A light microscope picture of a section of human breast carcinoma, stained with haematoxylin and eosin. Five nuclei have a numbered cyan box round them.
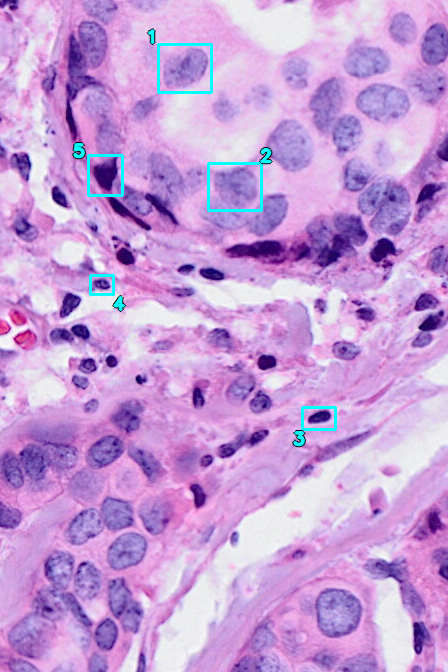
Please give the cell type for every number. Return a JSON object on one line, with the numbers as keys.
{"1": "carcinoma cell", "2": "carcinoma cell", "3": "lymphocyte", "4": "lymphocyte", "5": "carcinoma cell"}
